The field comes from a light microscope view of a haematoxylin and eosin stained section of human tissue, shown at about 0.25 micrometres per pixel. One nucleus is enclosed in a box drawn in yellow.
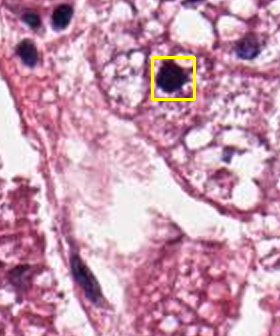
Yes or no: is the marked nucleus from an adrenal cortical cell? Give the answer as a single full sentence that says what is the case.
Yes, the nucleus that is marked belongs to an adrenal cortical cell.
